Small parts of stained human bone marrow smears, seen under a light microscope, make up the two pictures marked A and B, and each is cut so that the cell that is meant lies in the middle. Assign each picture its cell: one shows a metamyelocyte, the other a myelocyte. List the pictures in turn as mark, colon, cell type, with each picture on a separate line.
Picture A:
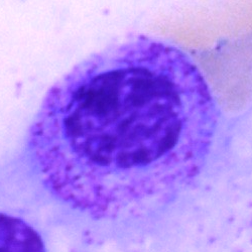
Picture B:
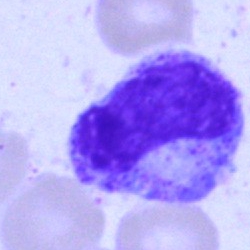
A: myelocyte
B: metamyelocyte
